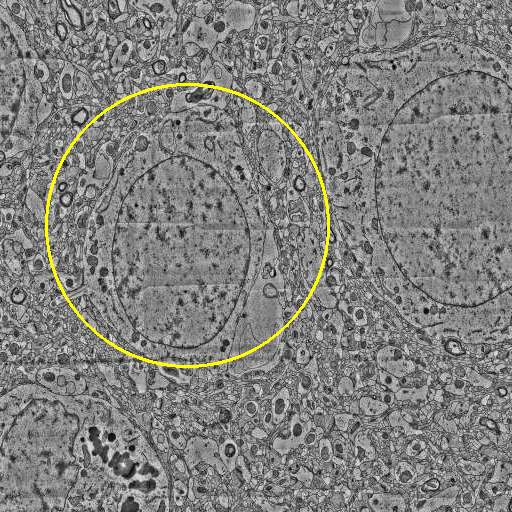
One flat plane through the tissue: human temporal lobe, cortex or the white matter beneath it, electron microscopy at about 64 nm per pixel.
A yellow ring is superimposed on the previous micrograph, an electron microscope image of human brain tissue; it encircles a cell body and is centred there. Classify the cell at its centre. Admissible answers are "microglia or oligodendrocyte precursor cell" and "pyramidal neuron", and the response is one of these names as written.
pyramidal neuron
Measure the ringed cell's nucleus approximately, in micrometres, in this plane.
About 12 micrometres by about 9 micrometres in this plane.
